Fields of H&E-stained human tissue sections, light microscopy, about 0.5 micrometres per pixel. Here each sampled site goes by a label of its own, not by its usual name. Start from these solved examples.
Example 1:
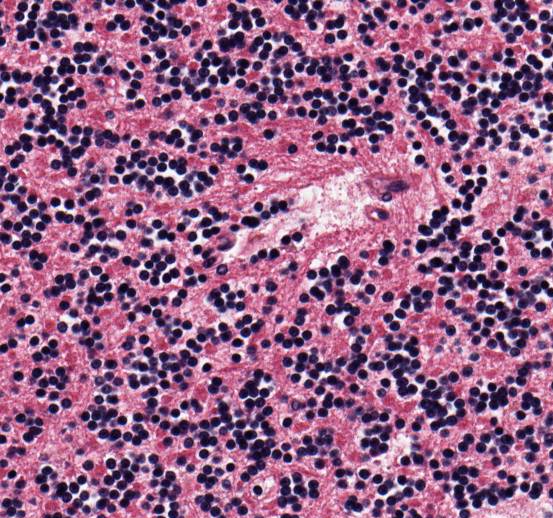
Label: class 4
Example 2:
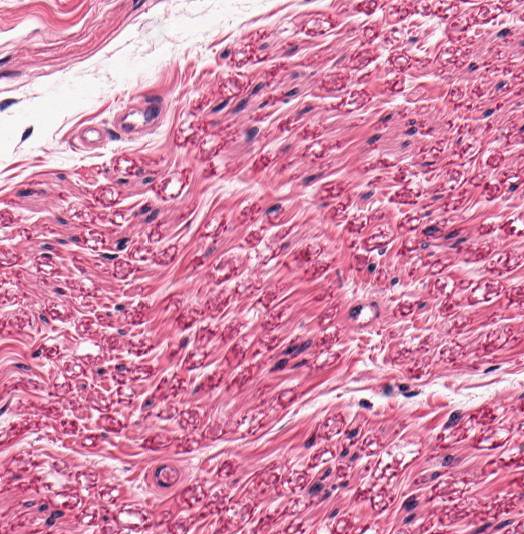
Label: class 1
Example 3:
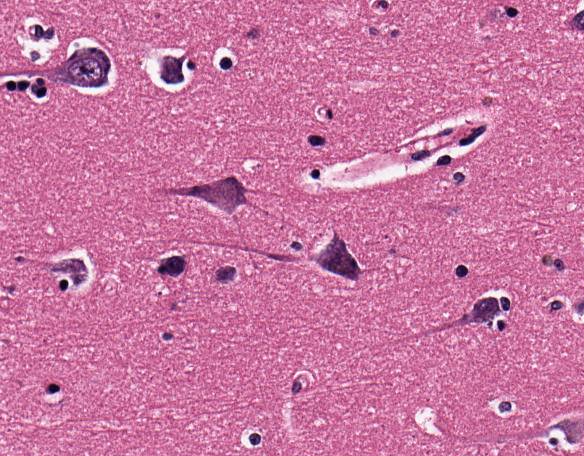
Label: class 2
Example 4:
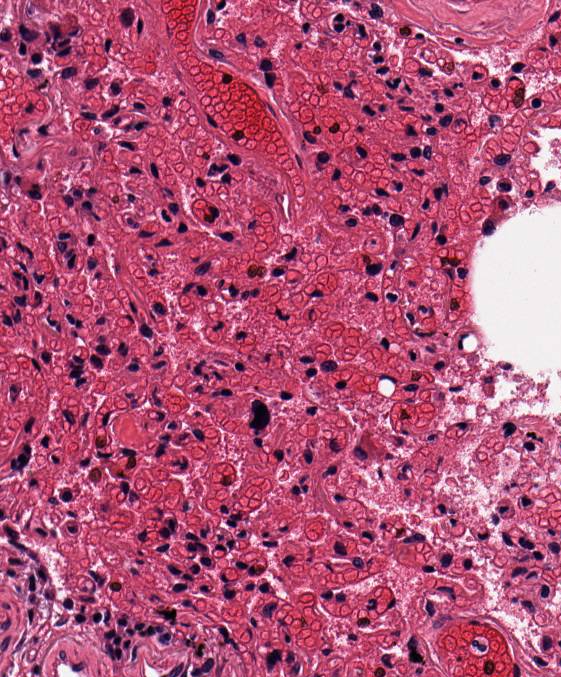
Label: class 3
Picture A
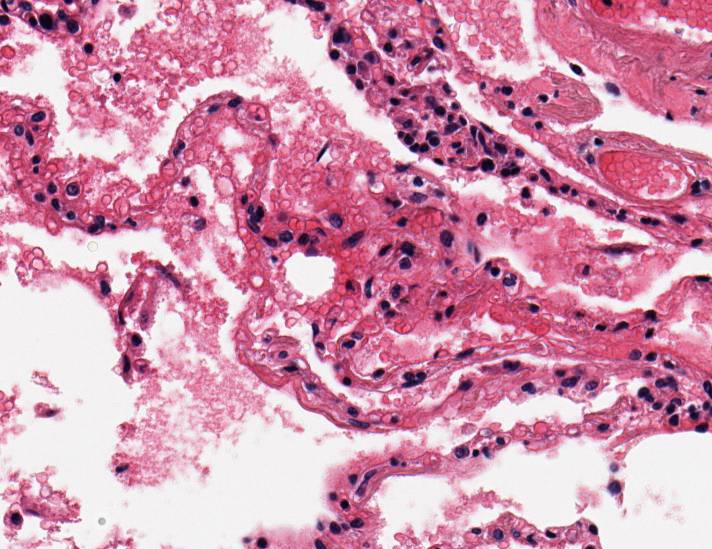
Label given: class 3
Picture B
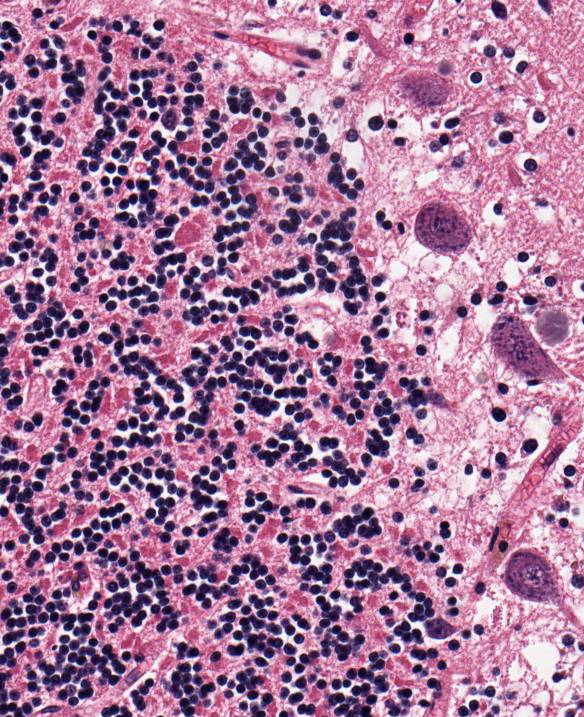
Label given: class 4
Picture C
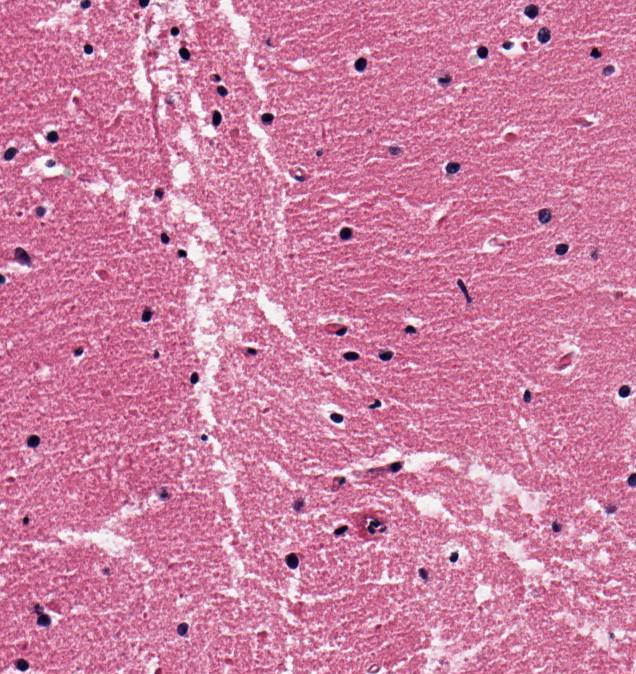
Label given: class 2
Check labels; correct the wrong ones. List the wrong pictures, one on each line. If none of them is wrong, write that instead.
C: not class 2 but class 4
